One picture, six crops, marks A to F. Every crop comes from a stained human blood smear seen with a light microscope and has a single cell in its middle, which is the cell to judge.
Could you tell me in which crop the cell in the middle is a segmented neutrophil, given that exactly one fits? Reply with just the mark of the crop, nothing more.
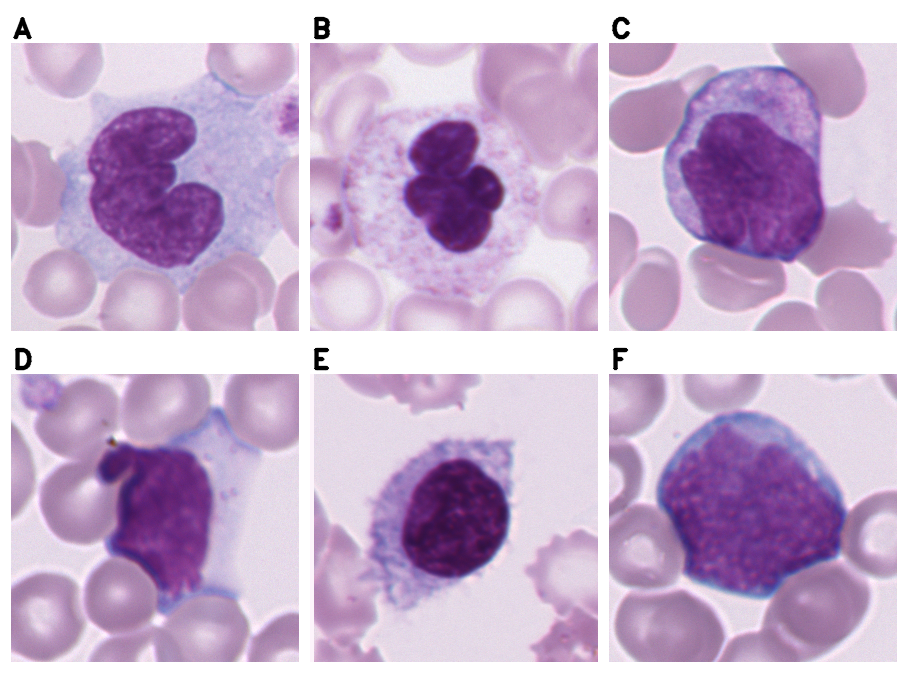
B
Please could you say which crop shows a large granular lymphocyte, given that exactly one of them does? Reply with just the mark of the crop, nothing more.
D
